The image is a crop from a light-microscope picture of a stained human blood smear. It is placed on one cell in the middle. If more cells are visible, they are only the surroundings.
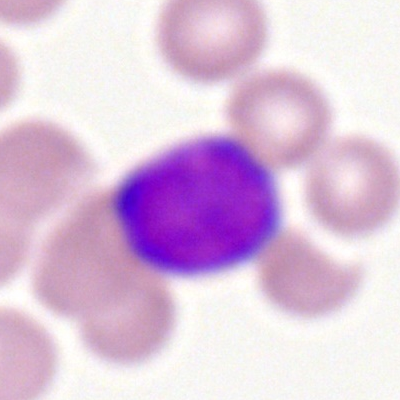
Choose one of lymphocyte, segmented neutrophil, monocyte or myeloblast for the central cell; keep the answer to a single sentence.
At the center of the crop sits a myeloblast.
